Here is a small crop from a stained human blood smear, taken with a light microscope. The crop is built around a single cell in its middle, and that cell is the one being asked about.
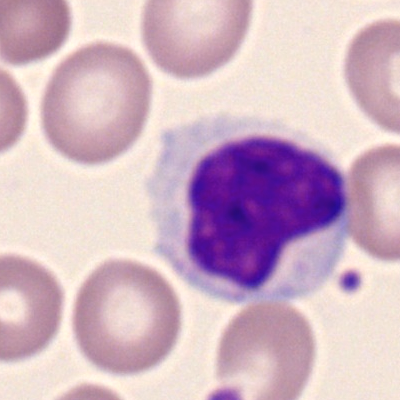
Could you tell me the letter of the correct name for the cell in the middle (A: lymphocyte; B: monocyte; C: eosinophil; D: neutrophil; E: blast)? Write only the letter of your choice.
A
